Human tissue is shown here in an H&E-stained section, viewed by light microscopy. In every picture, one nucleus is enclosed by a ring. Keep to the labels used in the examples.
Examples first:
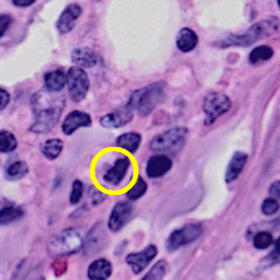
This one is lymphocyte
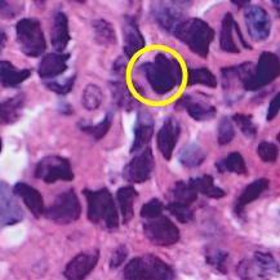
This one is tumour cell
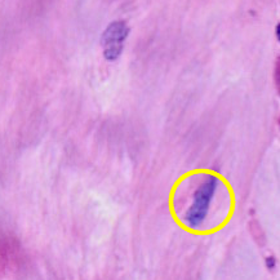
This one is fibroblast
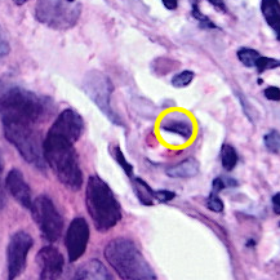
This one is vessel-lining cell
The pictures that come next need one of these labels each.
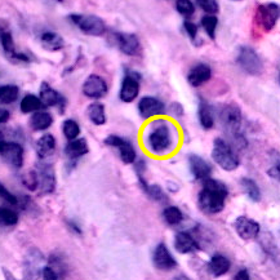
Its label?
lymphocyte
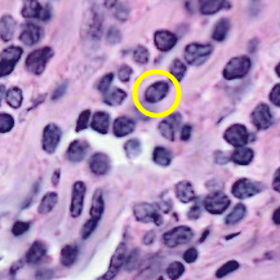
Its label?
lymphocyte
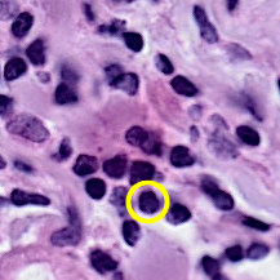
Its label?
lymphocyte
